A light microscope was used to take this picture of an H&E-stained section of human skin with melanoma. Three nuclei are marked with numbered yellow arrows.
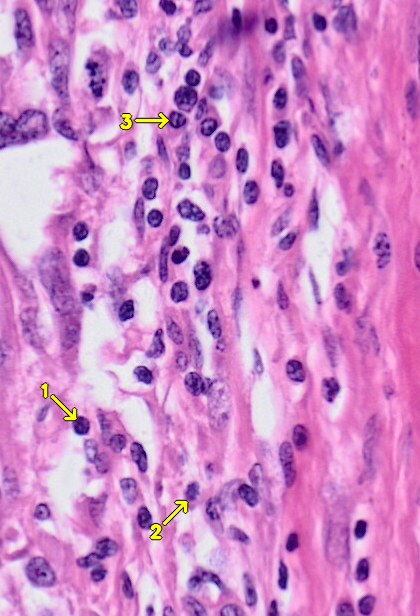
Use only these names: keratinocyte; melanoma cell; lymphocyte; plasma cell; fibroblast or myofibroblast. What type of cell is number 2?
plasma cell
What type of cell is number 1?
lymphocyte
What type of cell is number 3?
plasma cell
